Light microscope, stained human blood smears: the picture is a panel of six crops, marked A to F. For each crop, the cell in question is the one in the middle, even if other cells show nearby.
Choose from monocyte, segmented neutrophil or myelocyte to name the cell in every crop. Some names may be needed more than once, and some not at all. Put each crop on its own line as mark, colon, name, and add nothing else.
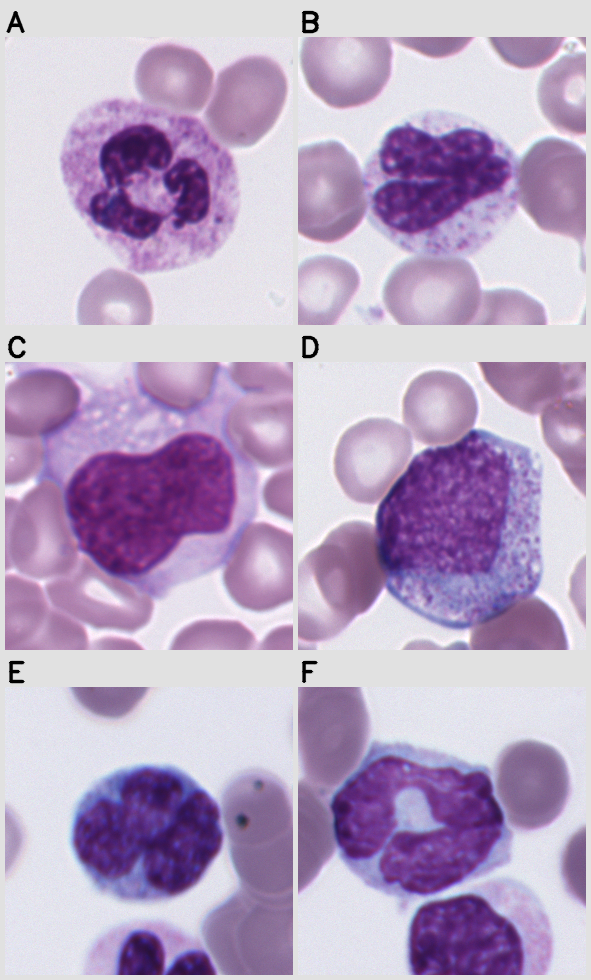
A: segmented neutrophil
B: segmented neutrophil
C: monocyte
D: myelocyte
E: monocyte
F: monocyte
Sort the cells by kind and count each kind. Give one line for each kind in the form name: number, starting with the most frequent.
monocyte: 3
segmented neutrophil: 2
myelocyte: 1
